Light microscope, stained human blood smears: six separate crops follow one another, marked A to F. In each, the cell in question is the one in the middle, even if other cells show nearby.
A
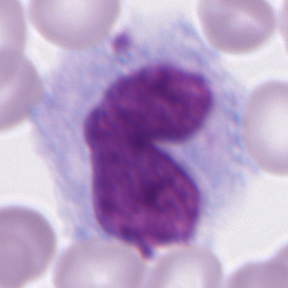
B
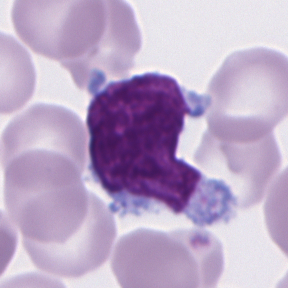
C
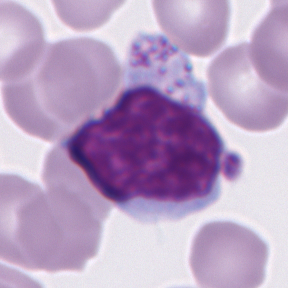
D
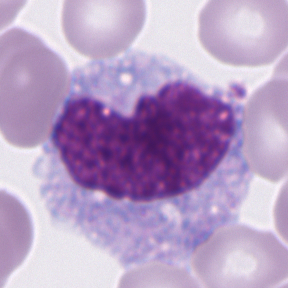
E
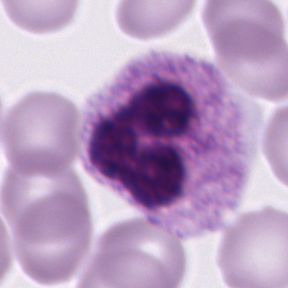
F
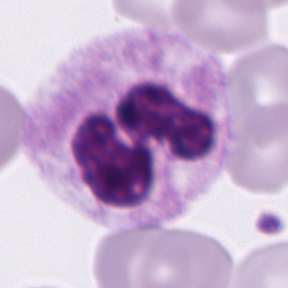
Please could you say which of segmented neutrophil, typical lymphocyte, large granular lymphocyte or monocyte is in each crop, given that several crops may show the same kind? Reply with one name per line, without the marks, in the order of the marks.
monocyte
typical lymphocyte
large granular lymphocyte
monocyte
segmented neutrophil
segmented neutrophil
